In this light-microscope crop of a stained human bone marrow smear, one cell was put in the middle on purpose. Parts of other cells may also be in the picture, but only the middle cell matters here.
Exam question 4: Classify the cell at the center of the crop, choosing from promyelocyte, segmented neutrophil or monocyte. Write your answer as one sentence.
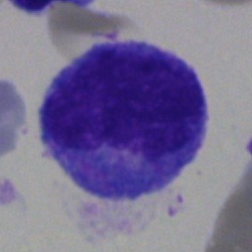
The centrally positioned cell in the crop represents a promyelocyte.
